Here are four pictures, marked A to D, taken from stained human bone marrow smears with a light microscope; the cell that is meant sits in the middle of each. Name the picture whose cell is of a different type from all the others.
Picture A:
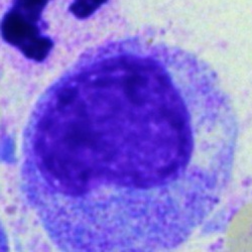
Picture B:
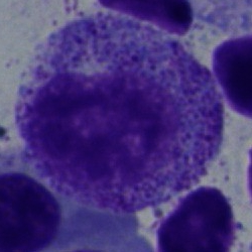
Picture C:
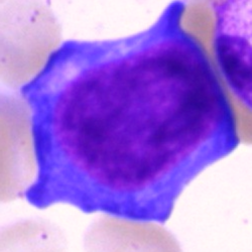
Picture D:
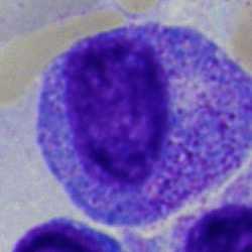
C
